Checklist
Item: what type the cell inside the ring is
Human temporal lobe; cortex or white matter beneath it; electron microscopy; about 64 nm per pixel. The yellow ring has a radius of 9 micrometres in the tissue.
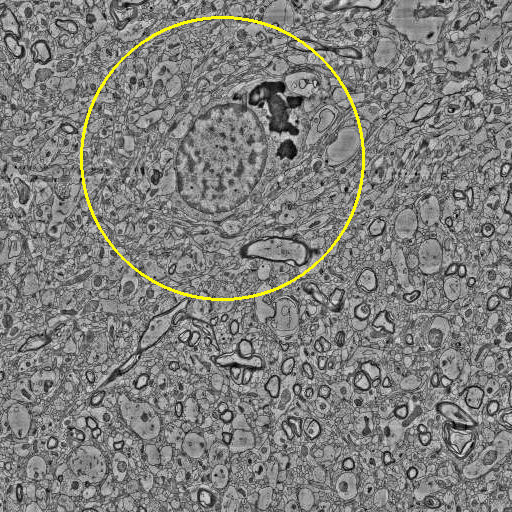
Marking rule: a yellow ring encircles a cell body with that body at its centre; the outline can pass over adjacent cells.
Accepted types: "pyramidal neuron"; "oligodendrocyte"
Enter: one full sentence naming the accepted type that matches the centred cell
The entry is that an oligodendrocyte lies at the centre of the yellow ring.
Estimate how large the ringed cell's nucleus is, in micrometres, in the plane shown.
Approximately 7 x 6 micrometres in this plane.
